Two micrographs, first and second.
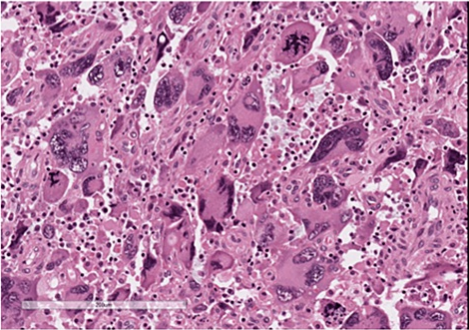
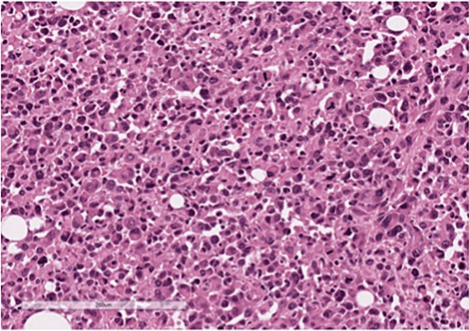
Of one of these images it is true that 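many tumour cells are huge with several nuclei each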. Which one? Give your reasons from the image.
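The first image. First image: scattered giant cells with multiple large bizarre nuclei and abundant pink cytoplasm. Second image: smaller crowded tumour cells each with a single nucleus.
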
